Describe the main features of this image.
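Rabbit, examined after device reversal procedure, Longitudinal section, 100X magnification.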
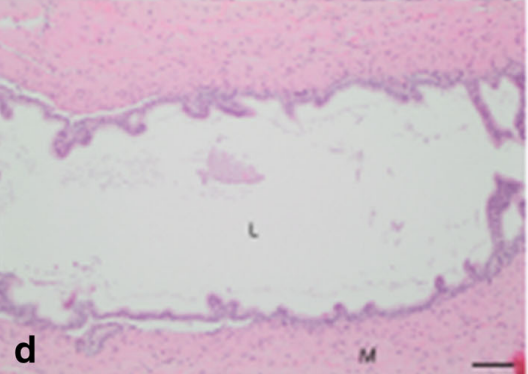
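Wall of the vas deferens with an intact tall columnar epithelium lining a largely empty lumen. The epithelium forms a continuous layer of tall cells with purple nuclei crowded toward the base, raised into small folds and papillary projections along the lumen. Beneath it lies a thick muscular wall of pink smooth muscle with scattered elongated nuclei. The lumen is clear apart from a small fragment of pale debris and a faint fine precipitate.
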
